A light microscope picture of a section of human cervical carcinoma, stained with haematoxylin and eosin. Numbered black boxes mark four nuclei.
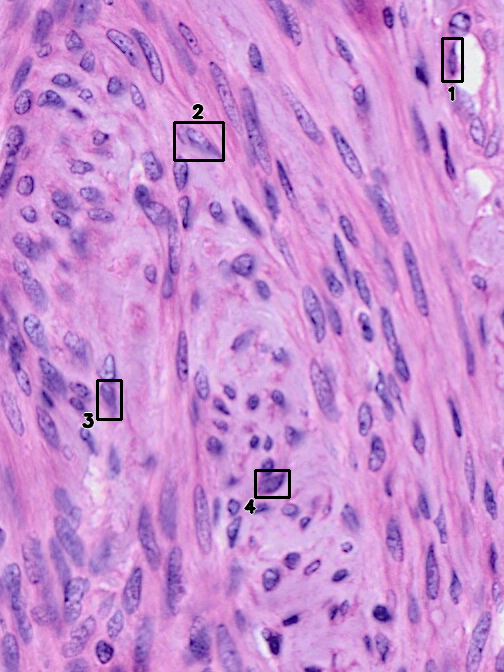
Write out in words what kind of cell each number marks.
Cell 1 is an endothelial cell. Cells 2, 3 and 4 are smooth muscle cells.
